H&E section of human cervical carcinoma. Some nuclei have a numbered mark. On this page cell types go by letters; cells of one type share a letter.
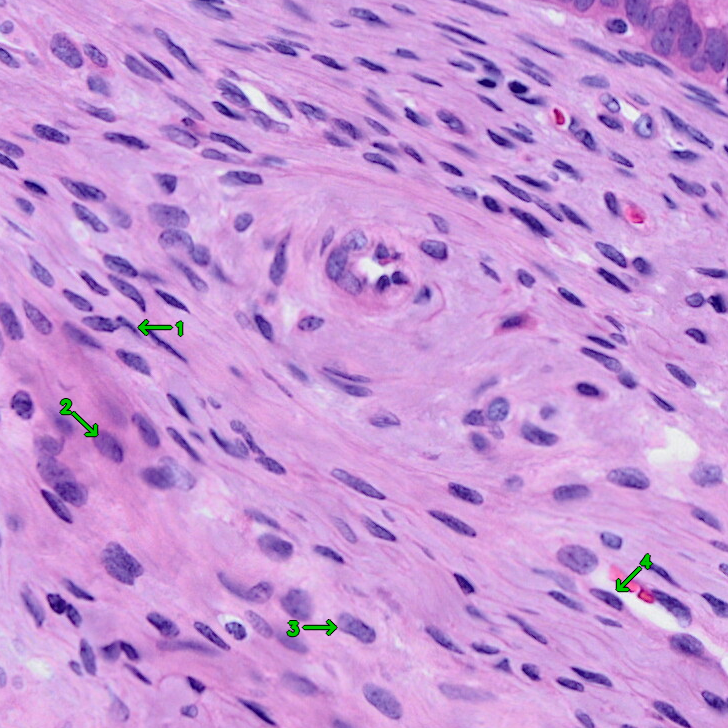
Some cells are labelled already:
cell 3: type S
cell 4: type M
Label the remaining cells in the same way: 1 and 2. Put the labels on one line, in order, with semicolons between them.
type S; type S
